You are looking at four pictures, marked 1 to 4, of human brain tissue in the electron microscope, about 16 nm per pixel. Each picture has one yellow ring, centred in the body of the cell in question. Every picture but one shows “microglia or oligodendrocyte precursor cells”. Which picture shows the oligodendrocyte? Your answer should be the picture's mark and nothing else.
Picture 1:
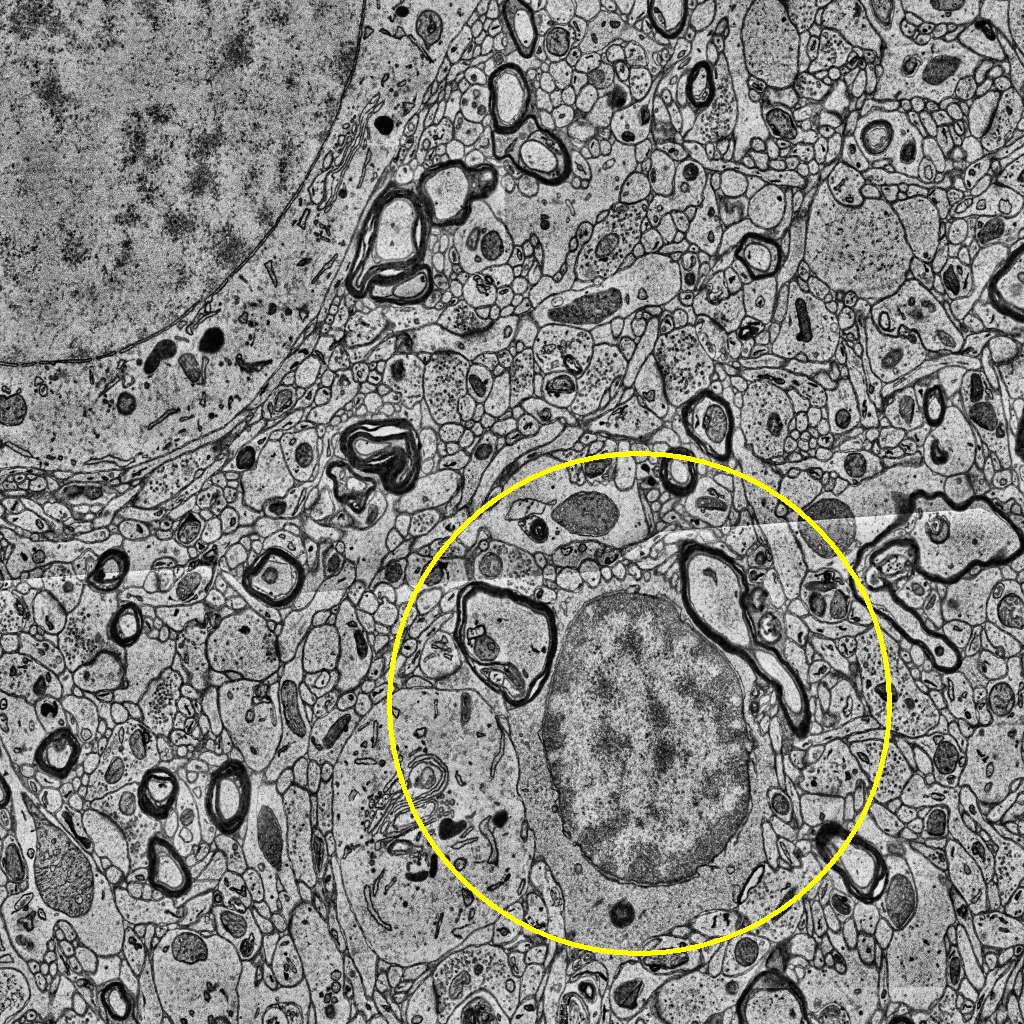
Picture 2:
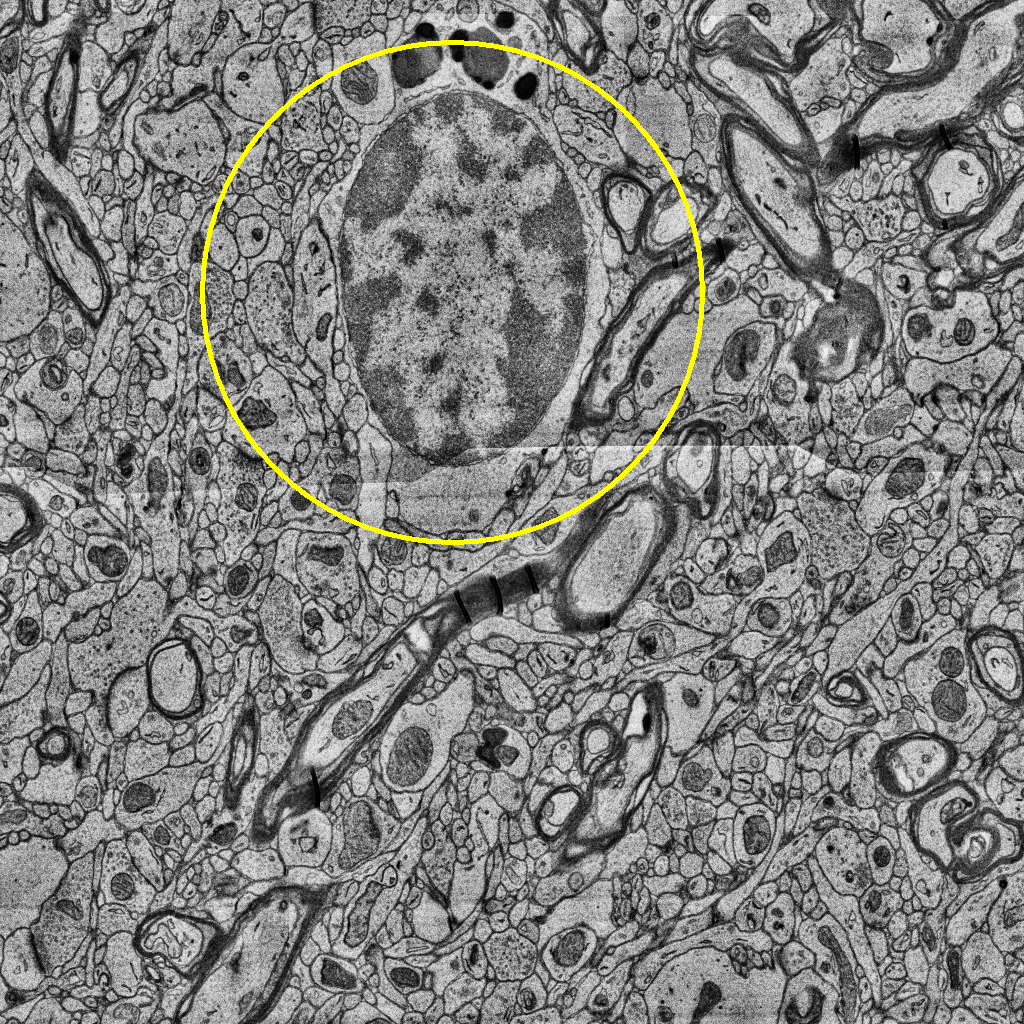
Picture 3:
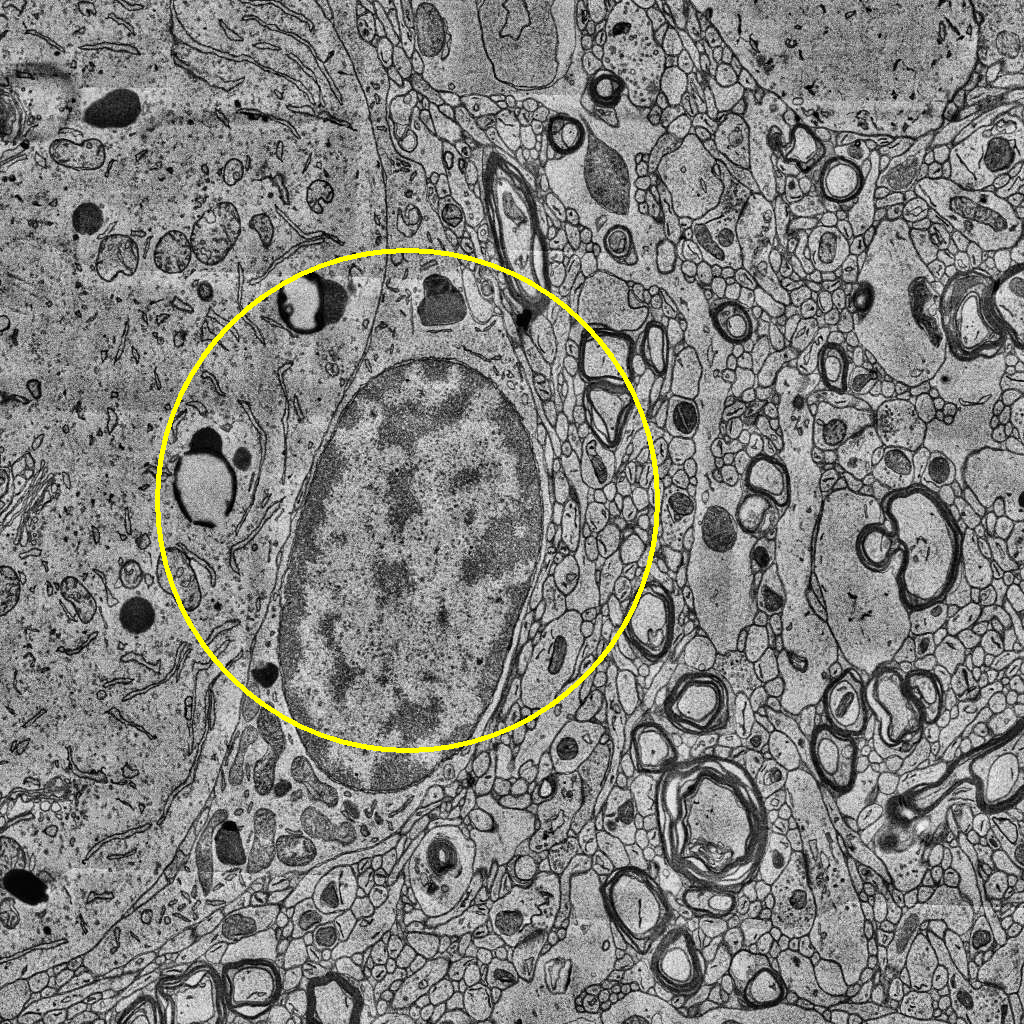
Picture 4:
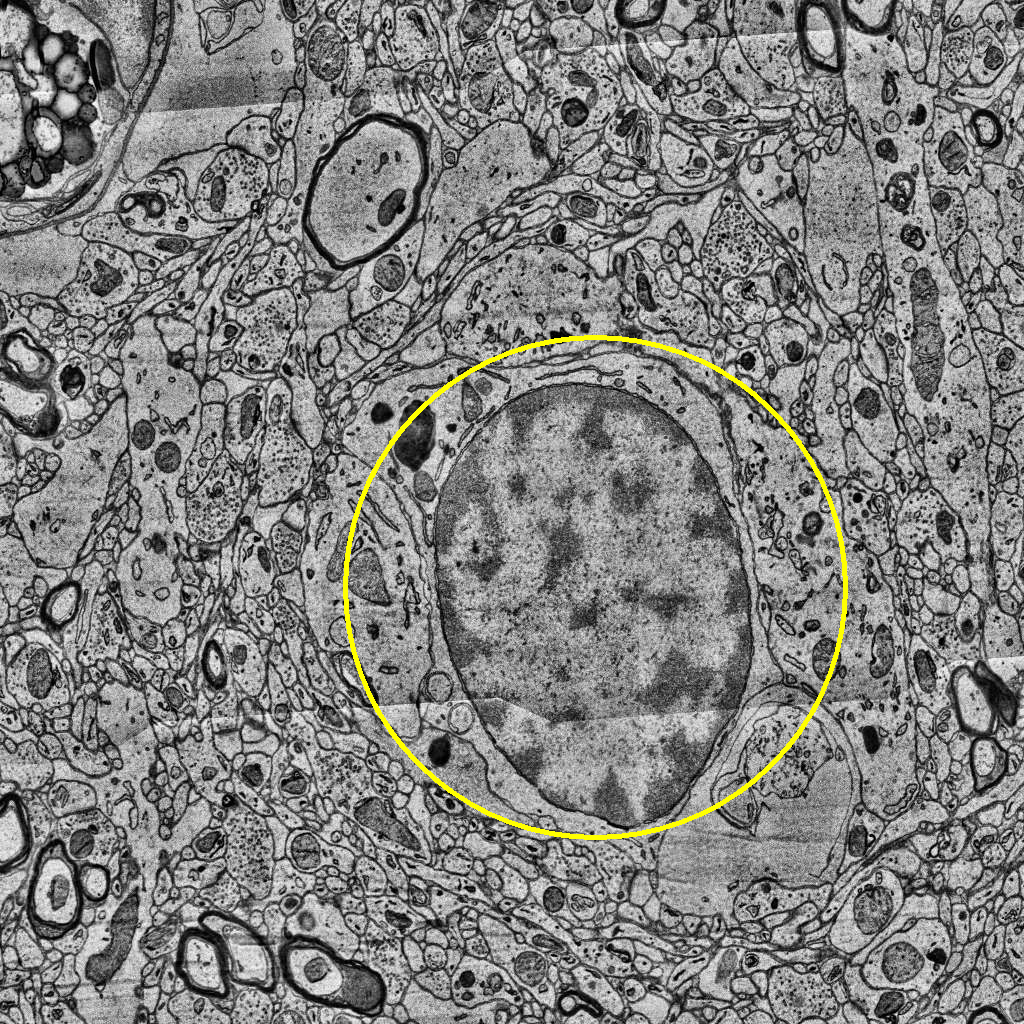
1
